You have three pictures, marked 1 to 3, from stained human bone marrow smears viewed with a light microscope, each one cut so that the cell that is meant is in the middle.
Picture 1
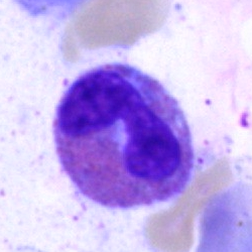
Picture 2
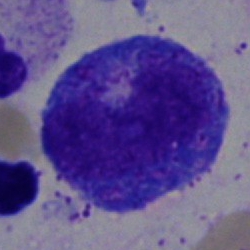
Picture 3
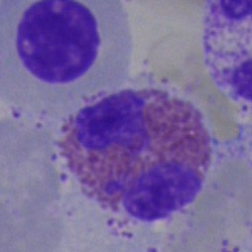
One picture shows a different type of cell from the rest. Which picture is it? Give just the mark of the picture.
2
